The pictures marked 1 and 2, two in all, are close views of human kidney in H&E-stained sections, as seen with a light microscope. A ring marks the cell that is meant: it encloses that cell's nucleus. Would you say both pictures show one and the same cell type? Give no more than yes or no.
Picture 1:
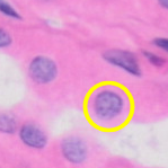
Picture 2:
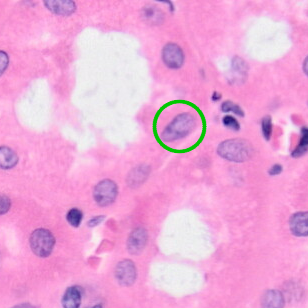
no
